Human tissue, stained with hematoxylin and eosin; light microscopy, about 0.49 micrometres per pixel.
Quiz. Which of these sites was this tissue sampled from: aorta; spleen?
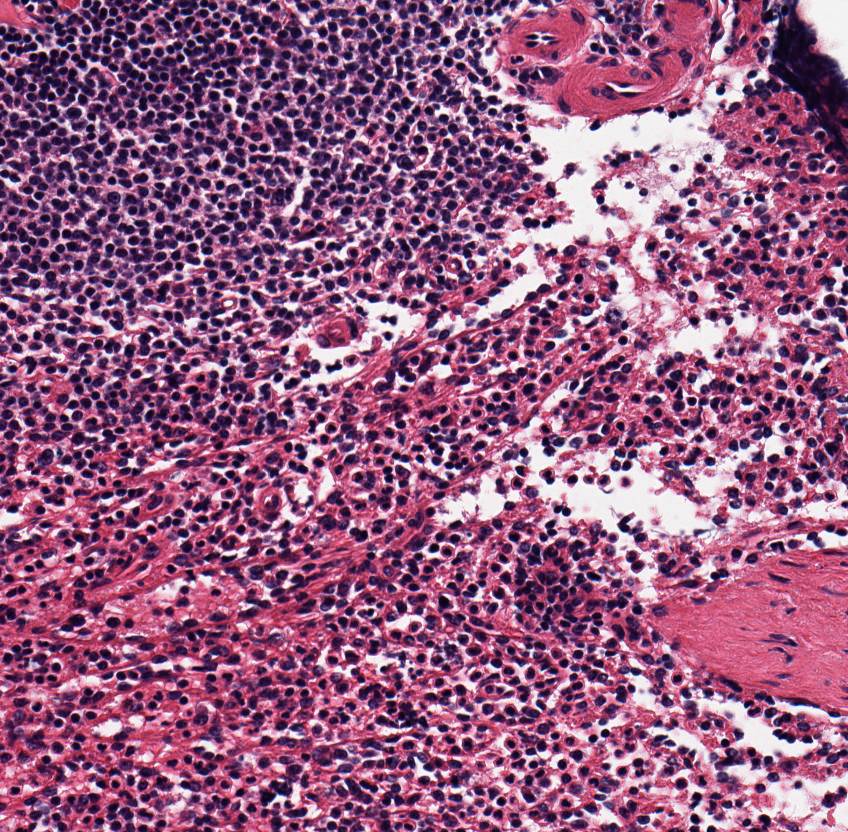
spleen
